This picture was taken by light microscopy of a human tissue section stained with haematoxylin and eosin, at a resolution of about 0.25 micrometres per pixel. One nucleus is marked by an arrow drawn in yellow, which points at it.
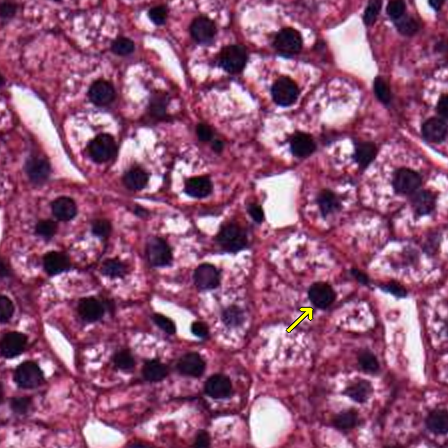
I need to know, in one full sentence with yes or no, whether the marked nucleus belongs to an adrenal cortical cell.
Yes, the marked nucleus is a part of an adrenal cortical cell.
